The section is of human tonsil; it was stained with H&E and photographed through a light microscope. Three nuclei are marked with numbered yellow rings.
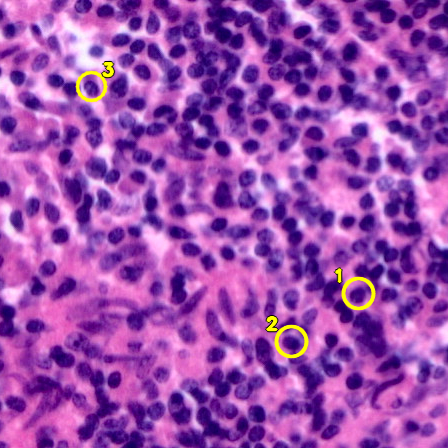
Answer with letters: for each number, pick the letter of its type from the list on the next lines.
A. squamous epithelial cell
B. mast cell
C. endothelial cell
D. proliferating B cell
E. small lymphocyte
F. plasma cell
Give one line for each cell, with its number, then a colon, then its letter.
1: E
2: E
3: F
